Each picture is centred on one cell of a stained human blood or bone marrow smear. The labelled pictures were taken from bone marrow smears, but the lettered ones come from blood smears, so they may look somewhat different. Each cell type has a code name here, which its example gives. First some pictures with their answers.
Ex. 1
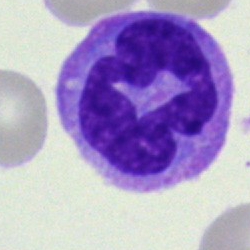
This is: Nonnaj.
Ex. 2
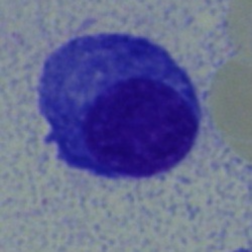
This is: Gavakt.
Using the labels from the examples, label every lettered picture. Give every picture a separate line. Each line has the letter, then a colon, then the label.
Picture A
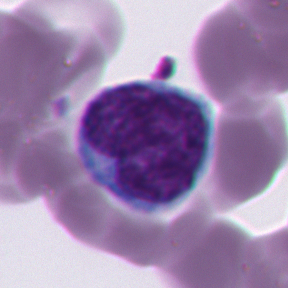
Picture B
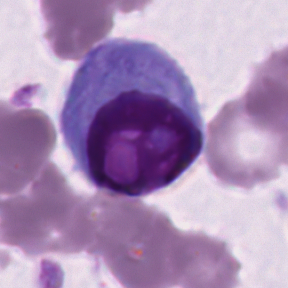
A: Nonnaj.
B: Gavakt.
